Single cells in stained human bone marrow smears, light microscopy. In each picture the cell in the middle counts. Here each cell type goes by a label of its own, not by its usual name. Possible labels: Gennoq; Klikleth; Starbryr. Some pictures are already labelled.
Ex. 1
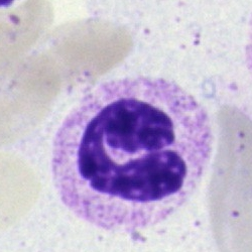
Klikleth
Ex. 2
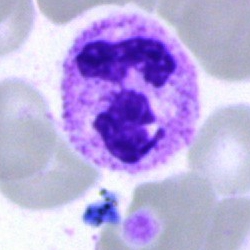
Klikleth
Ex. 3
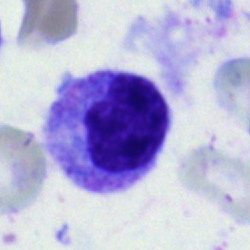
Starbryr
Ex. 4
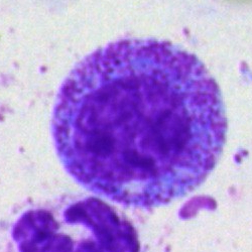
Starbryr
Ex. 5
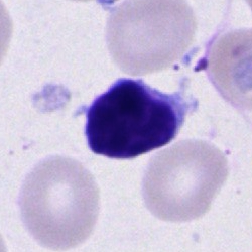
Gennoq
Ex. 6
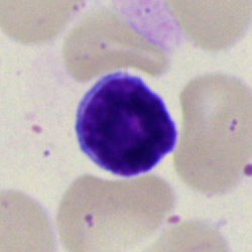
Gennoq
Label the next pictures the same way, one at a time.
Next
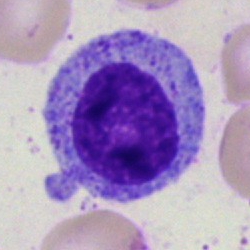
Starbryr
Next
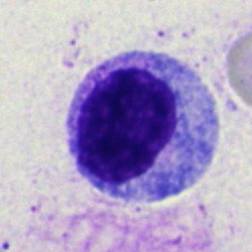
Starbryr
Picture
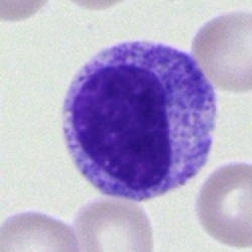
Starbryr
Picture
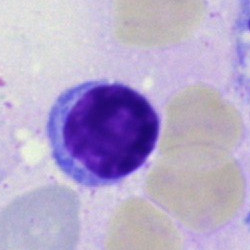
Gennoq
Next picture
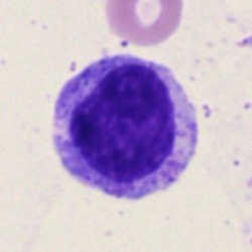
Starbryr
